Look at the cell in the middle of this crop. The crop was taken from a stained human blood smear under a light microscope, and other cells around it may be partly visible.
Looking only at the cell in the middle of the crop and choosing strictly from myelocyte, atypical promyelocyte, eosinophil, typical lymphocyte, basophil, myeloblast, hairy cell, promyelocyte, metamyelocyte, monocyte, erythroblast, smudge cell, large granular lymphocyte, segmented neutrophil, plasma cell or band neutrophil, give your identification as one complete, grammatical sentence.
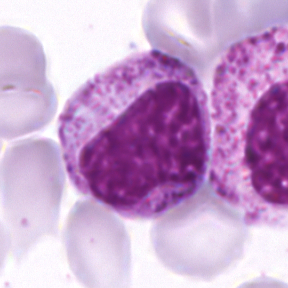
Occupying the centre of the crop is a myelocyte.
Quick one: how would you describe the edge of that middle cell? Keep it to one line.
Worth noting that the cell border is smooth and lacks projections.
